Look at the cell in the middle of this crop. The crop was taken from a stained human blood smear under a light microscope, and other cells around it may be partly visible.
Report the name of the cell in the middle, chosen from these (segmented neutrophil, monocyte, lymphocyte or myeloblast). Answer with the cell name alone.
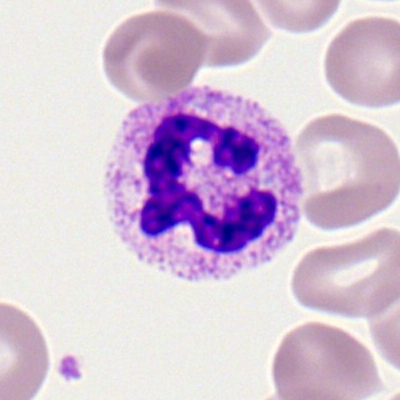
segmented neutrophil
